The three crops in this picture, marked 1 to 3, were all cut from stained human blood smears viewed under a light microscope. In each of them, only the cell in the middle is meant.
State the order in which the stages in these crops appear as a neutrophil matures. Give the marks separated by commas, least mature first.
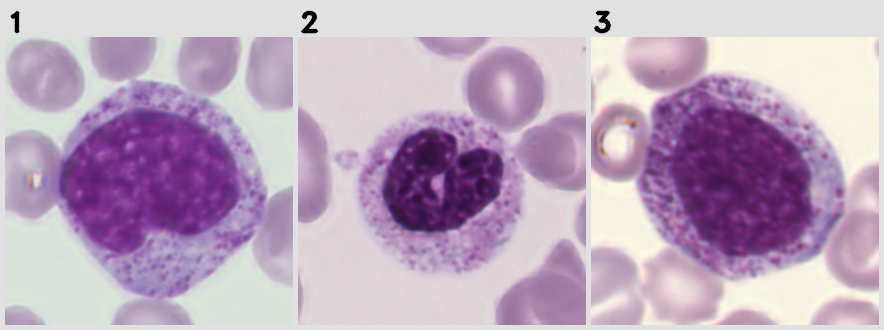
3, 1, 2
